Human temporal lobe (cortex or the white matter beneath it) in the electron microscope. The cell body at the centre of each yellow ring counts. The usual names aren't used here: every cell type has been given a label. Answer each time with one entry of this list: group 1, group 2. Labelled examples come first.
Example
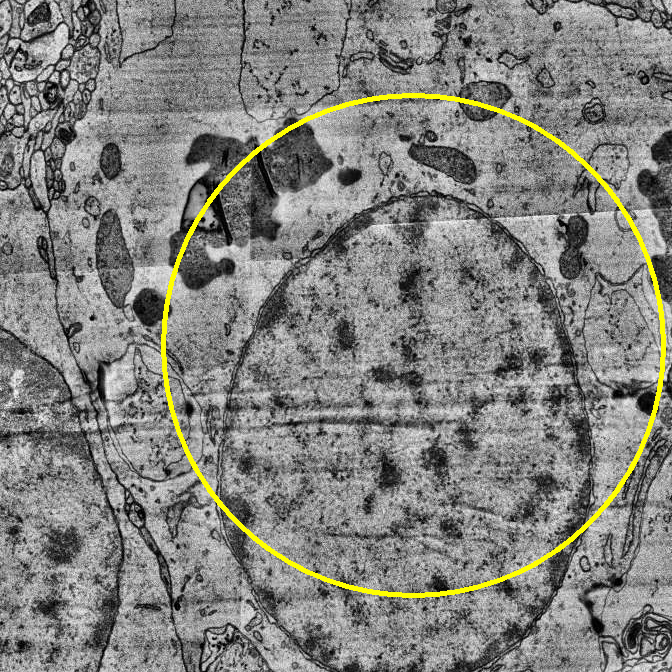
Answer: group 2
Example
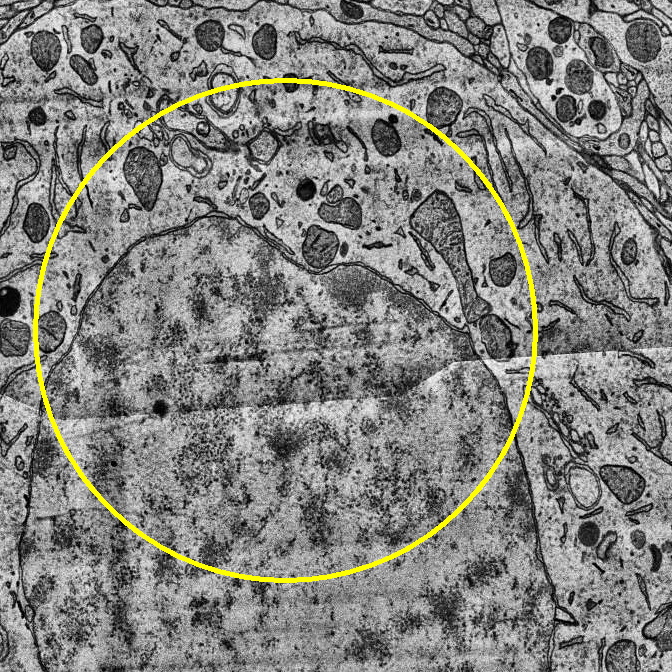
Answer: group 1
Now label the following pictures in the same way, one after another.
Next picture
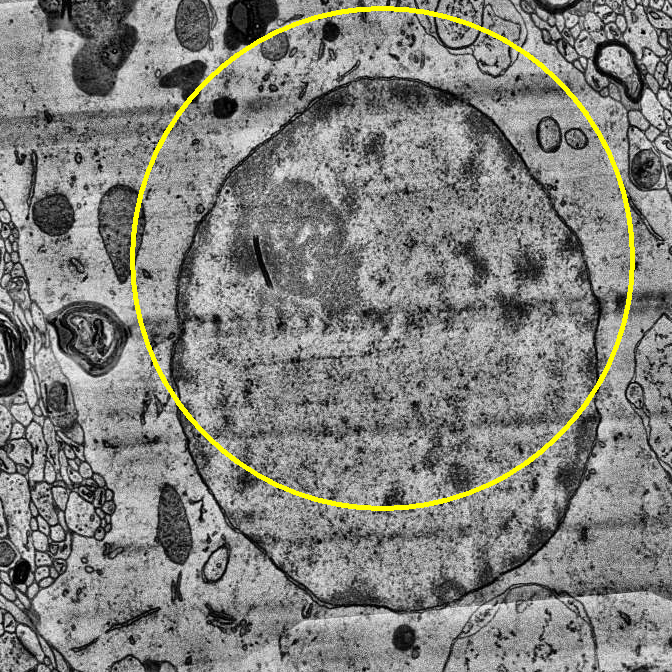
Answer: group 2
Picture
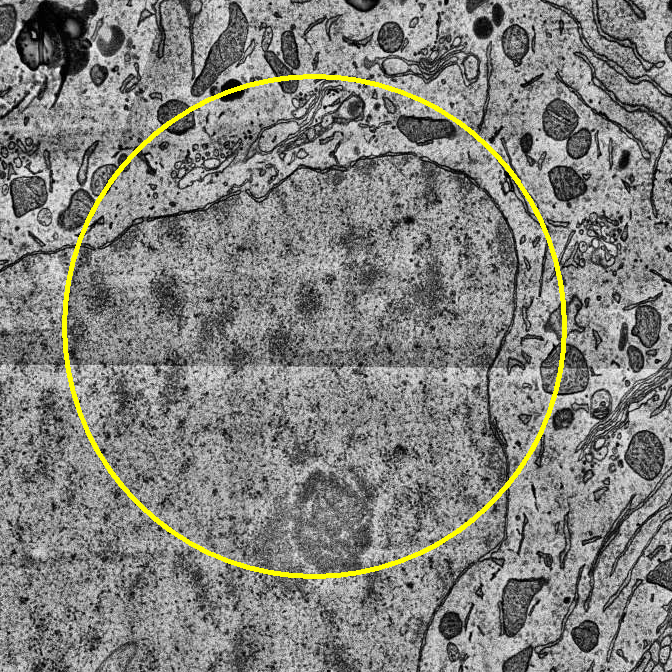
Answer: group 1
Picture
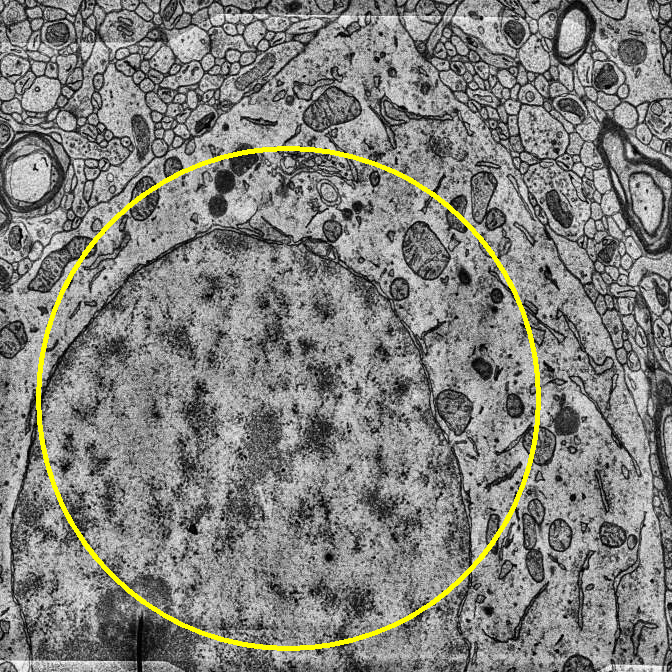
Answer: group 1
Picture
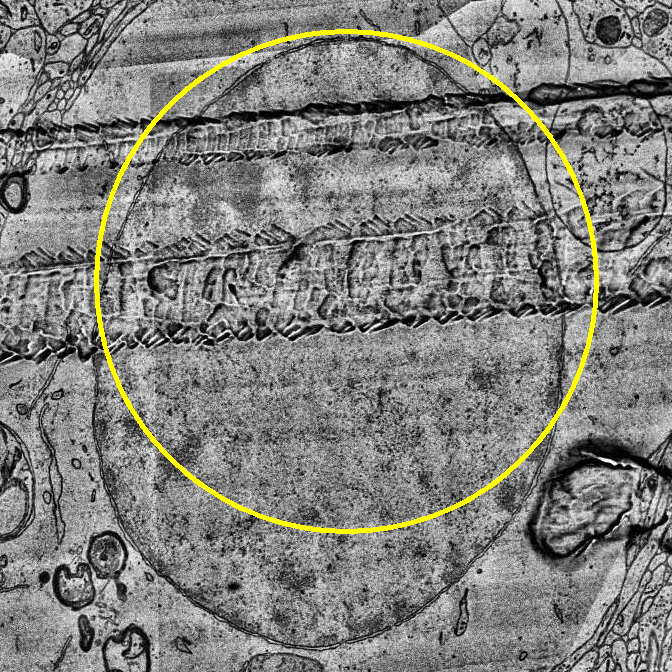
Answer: group 2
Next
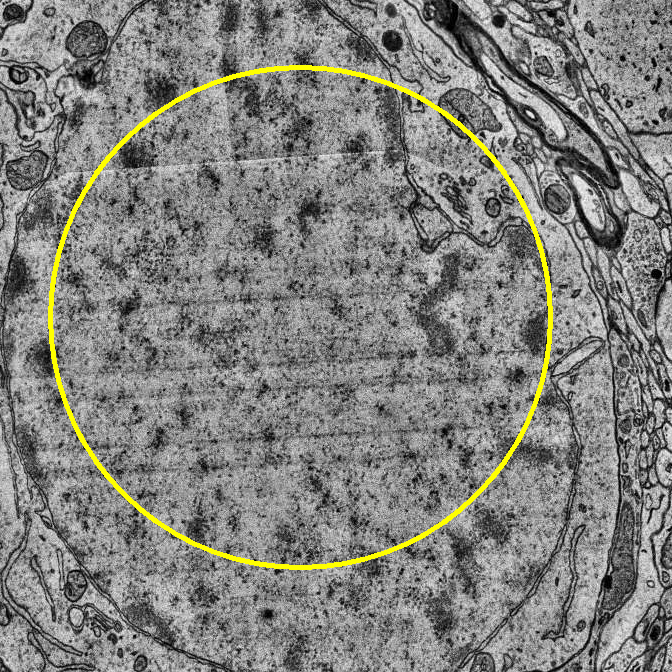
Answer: group 1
